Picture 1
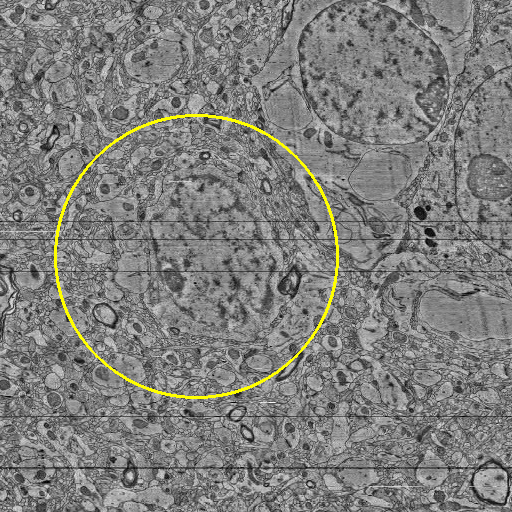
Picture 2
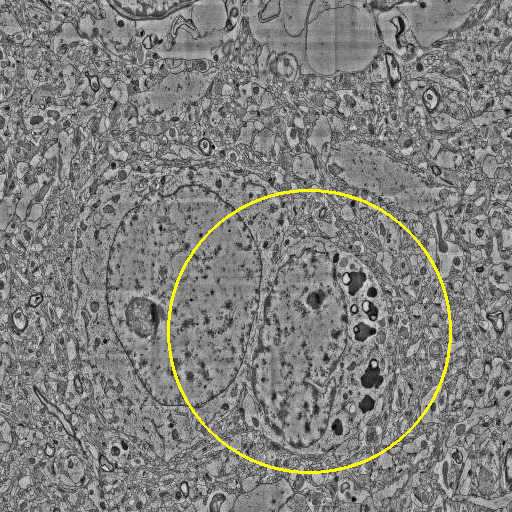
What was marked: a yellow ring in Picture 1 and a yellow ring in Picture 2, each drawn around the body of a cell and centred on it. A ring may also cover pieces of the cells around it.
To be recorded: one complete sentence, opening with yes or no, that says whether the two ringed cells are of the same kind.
Yes, the two ringed cells are of the same kind.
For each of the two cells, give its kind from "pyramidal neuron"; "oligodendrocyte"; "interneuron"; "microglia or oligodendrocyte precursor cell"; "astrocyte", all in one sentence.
Both cells are the same kind, each one being an interneuron.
